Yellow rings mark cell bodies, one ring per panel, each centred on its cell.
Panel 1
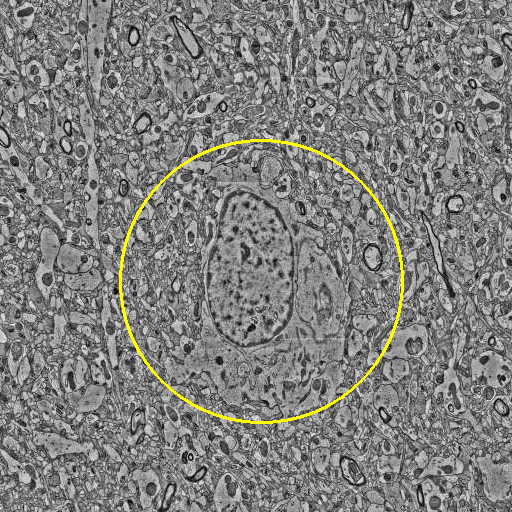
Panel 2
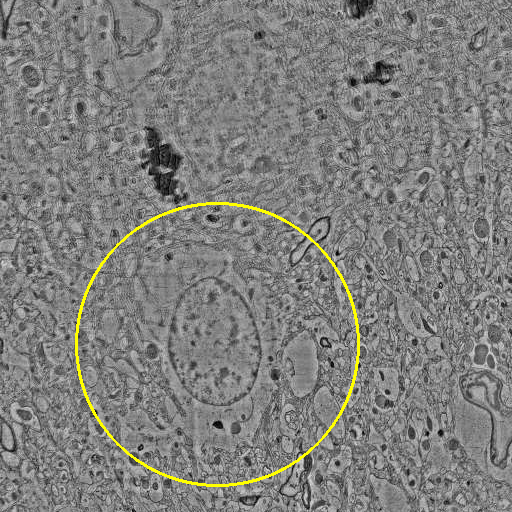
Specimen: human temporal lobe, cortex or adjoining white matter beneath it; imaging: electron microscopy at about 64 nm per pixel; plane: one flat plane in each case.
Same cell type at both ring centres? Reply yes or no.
no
